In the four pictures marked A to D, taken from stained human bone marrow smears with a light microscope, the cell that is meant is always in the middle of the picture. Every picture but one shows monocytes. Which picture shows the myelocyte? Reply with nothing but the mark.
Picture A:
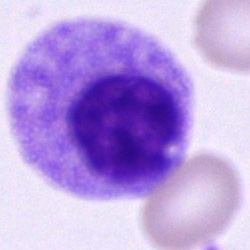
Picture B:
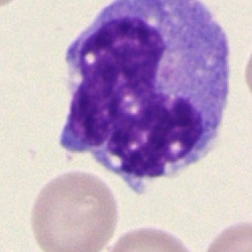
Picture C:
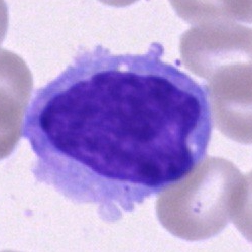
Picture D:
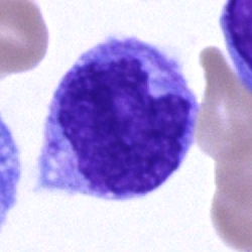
A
